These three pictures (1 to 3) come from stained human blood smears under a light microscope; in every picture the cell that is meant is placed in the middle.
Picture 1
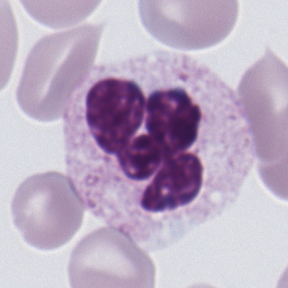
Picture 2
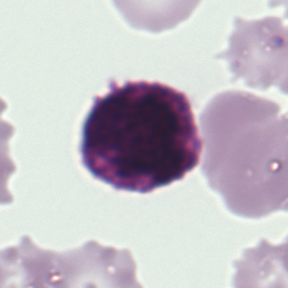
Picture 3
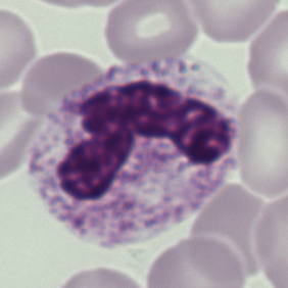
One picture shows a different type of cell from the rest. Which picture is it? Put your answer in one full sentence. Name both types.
Unlike the rest, which show segmented neutrophils, picture 2 shows a basophil.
